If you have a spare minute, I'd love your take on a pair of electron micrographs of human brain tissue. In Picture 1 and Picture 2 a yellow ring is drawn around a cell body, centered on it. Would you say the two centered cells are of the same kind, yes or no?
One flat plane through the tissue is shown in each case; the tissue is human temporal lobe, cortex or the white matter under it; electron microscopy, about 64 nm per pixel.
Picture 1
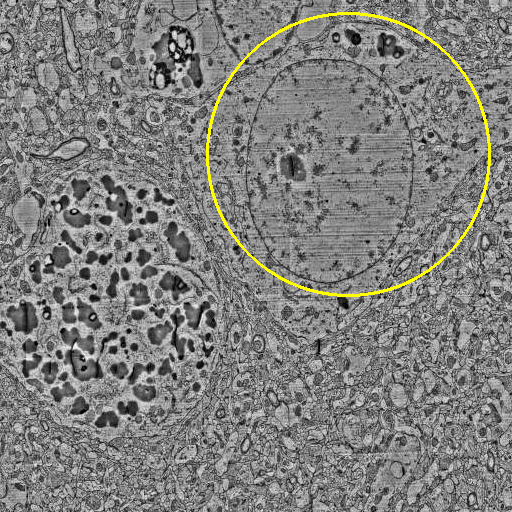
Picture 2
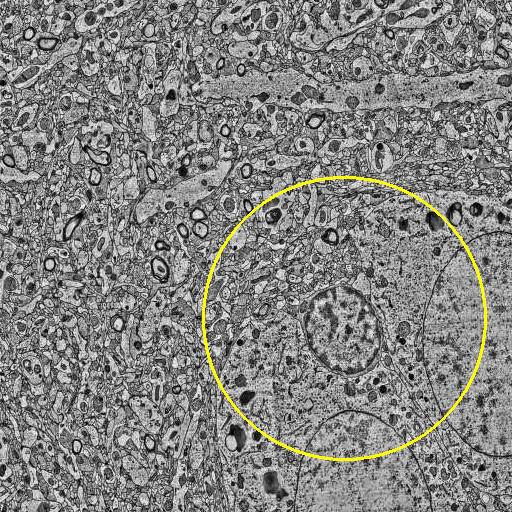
no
